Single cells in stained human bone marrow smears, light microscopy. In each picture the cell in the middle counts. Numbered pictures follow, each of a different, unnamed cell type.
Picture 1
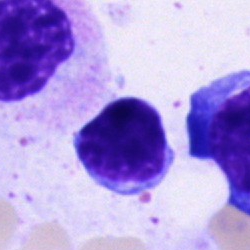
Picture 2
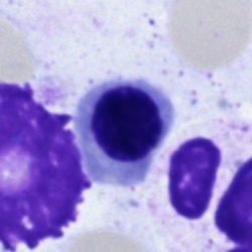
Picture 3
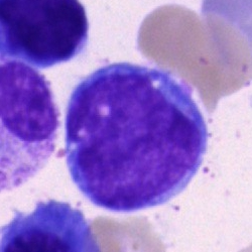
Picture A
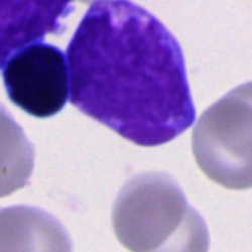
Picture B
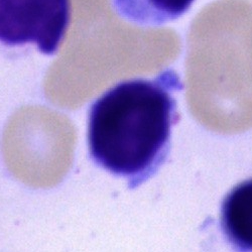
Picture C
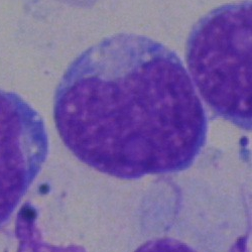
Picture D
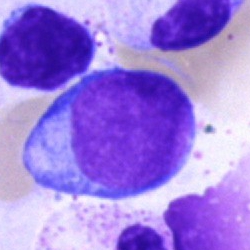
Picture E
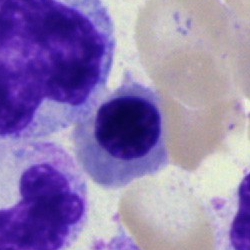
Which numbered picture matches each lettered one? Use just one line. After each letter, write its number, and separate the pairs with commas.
A 3, B 1, C 3, D 3, E 2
